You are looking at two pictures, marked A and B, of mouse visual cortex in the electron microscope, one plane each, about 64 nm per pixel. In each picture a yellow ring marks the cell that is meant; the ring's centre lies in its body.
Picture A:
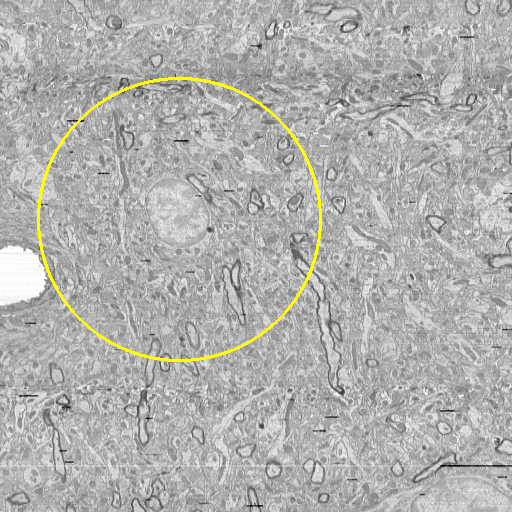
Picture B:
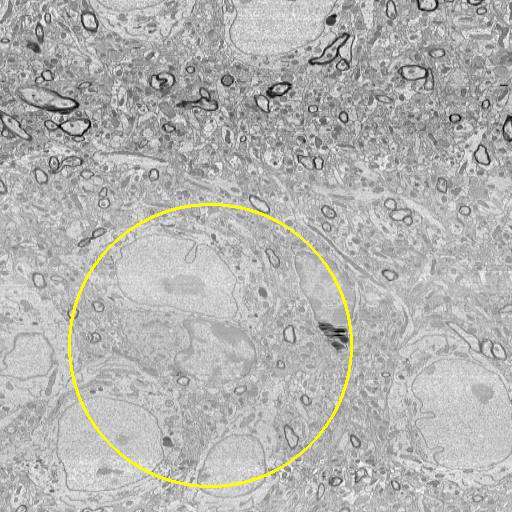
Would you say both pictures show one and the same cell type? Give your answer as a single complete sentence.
Yes, they are the same type: both are oligodendrocytes.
